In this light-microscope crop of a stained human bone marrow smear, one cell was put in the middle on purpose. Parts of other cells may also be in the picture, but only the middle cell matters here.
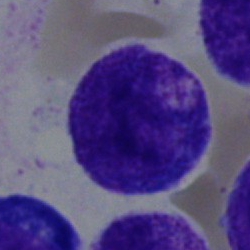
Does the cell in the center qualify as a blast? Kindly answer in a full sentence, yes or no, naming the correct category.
No, the centred cell is a promyelocyte, and it is not a blast.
